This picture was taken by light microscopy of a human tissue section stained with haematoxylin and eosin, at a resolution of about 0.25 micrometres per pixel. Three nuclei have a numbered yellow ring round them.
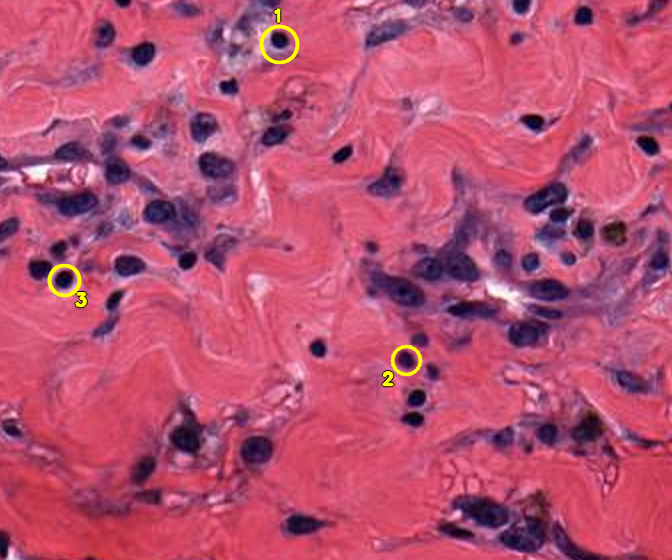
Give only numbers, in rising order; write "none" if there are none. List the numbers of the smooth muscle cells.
none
